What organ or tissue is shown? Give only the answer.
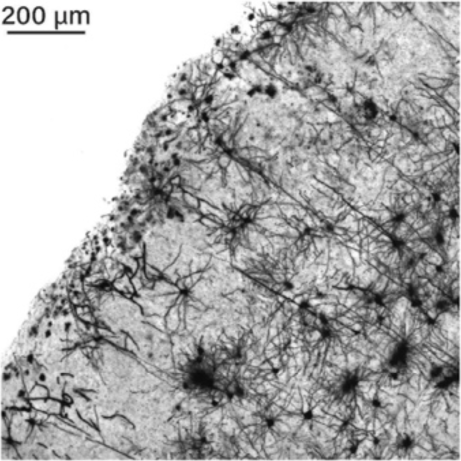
Cortex.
